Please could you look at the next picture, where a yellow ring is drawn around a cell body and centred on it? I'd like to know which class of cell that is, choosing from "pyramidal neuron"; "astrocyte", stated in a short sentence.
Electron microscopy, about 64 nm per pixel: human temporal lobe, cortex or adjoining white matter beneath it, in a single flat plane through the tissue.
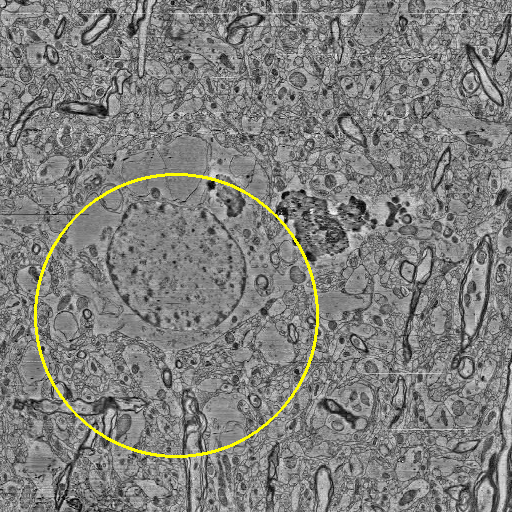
The ring's centre lies on an astrocyte.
